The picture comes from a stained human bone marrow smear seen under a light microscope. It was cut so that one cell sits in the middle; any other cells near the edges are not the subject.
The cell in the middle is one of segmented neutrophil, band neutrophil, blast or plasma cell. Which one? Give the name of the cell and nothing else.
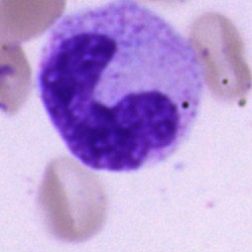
band neutrophil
